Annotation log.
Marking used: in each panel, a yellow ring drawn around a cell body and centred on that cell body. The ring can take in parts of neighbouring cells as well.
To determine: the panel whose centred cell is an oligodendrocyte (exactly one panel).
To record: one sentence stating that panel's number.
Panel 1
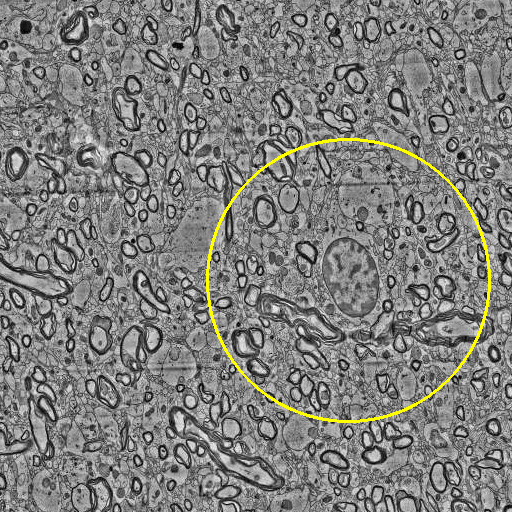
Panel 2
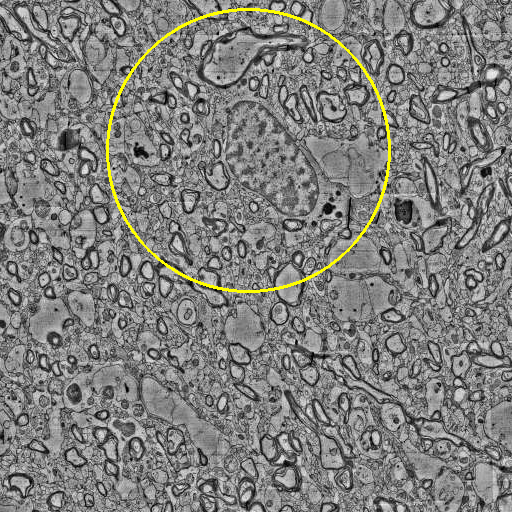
Panel 2 shows it at the centre of its ring.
